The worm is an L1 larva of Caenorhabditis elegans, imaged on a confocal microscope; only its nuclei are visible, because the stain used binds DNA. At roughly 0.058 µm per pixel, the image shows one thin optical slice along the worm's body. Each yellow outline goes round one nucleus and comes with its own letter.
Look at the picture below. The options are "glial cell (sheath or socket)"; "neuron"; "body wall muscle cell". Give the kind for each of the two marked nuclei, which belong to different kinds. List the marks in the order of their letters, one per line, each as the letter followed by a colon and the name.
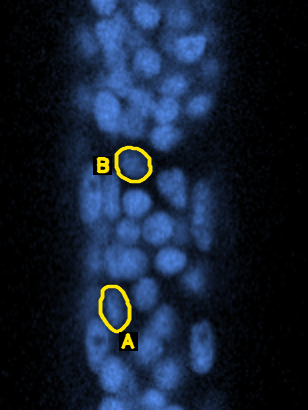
A: glial cell (sheath or socket)
B: neuron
